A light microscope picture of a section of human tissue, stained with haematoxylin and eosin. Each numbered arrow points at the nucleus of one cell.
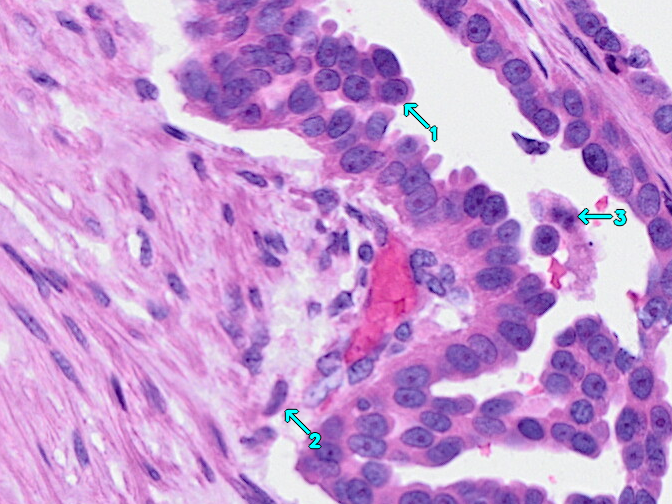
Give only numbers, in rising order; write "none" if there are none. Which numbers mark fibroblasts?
2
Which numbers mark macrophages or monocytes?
3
